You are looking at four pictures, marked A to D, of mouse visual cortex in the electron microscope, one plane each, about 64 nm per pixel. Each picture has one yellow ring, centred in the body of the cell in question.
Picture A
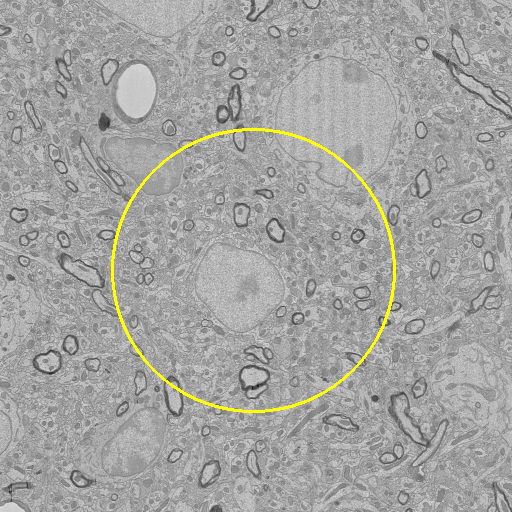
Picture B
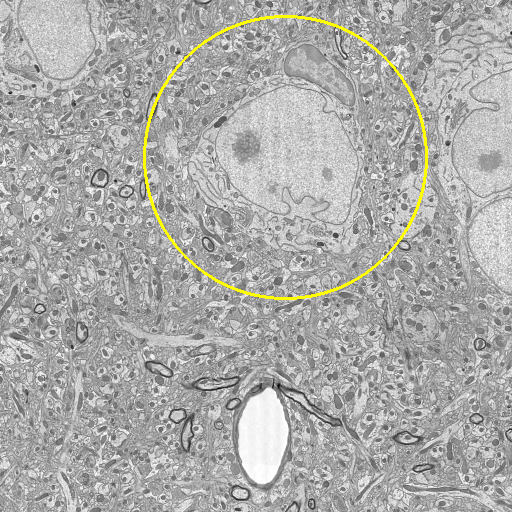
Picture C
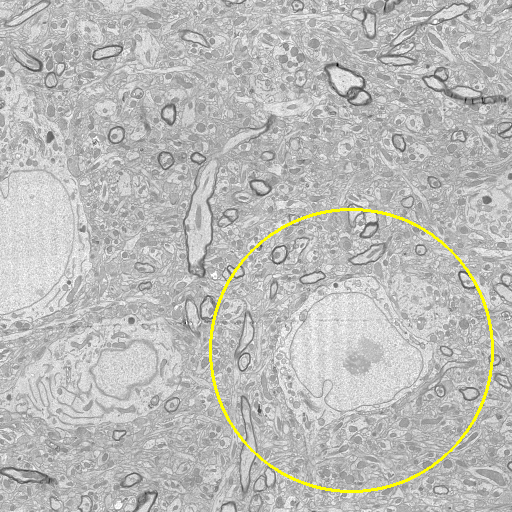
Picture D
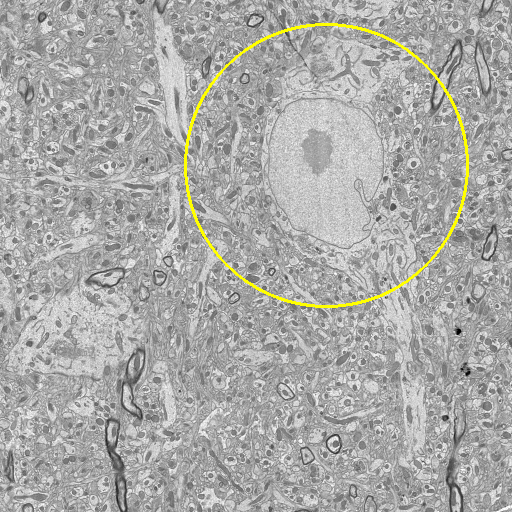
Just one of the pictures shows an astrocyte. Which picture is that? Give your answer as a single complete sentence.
The cell in picture A is the astrocyte.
